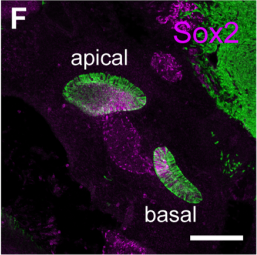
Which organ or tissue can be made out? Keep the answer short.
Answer: cochlear duct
